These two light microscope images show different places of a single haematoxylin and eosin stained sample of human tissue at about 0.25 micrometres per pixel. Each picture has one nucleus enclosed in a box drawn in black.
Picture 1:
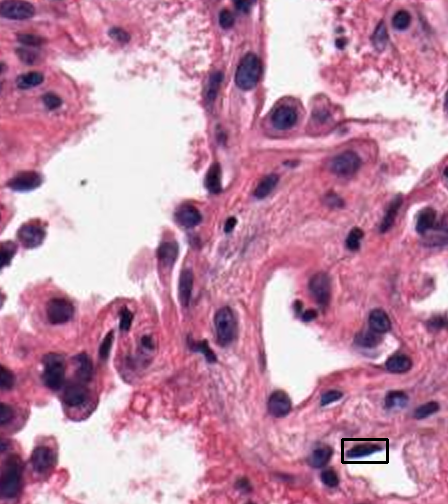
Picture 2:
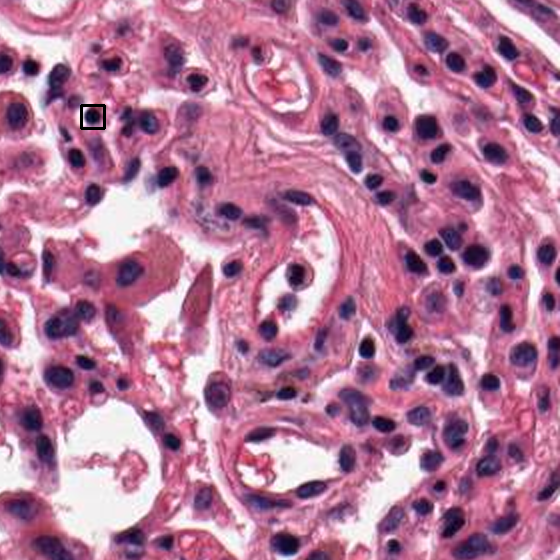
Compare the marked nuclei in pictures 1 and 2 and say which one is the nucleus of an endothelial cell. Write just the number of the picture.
1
